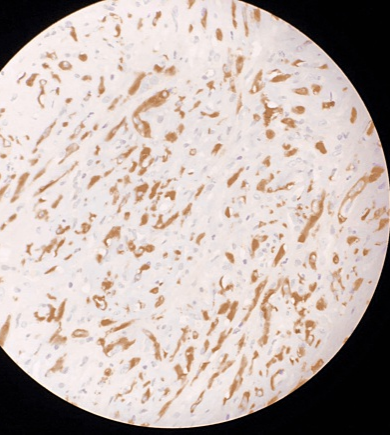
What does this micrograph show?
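Spindle cells stain strongly in this field. They lie in a pale background with light blue counterstained nuclei. Many elongated and irregular cell bodies are filled with strong brown staining of the cytoplasm, and they are oriented mostly in one diagonal direction, matching a fascicular arrangement. The stained cells are scattered fairly evenly across the field. Between them lie lightly stained stroma and cells without brown color, whose pale blue oval nuclei can be made out. The brown staining is cytoplasmic, outlining tapering and somewhat plump cell shapes.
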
